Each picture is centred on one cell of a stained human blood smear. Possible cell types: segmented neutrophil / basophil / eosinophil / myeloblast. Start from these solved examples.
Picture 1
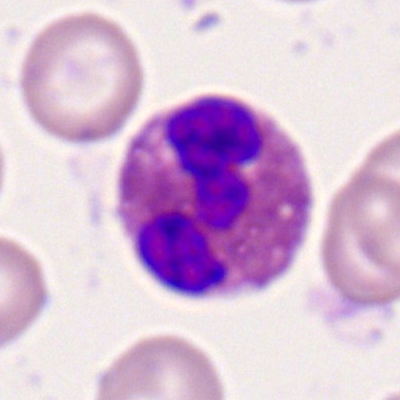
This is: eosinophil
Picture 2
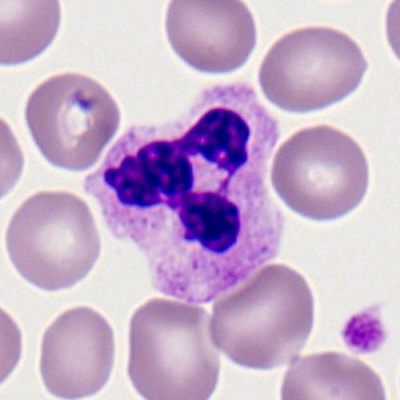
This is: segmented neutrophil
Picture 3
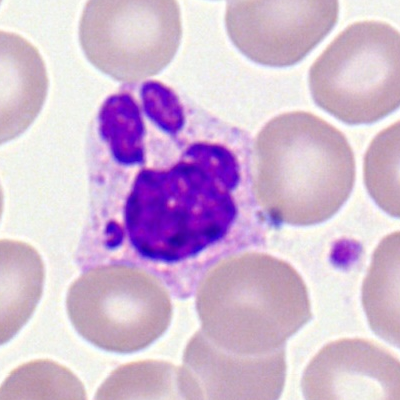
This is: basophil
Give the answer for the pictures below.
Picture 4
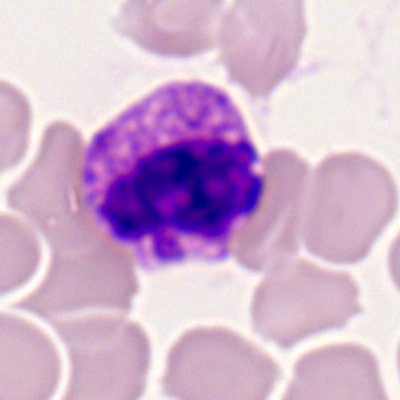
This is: basophil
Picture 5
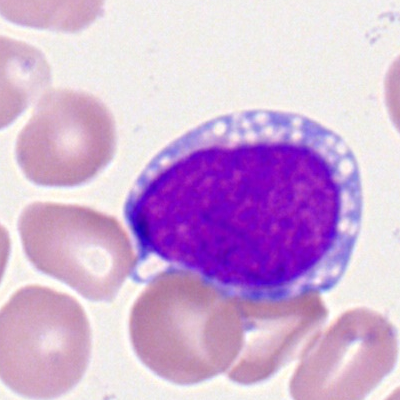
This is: myeloblast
